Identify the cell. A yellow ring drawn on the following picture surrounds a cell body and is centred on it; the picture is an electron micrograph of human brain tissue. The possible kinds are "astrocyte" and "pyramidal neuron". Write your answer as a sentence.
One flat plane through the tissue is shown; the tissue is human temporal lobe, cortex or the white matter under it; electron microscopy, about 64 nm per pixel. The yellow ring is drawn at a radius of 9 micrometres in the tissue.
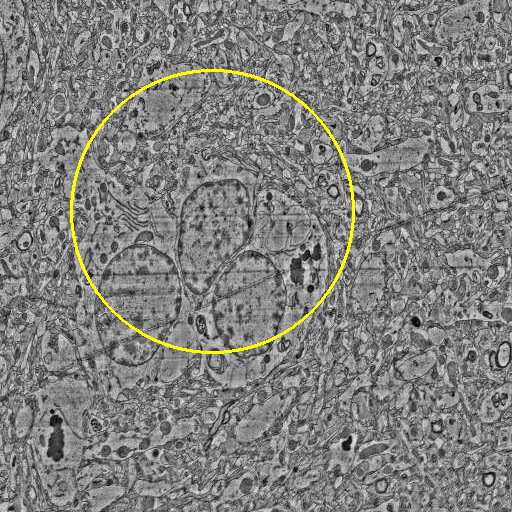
The cell identified by the ring is an astrocyte.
